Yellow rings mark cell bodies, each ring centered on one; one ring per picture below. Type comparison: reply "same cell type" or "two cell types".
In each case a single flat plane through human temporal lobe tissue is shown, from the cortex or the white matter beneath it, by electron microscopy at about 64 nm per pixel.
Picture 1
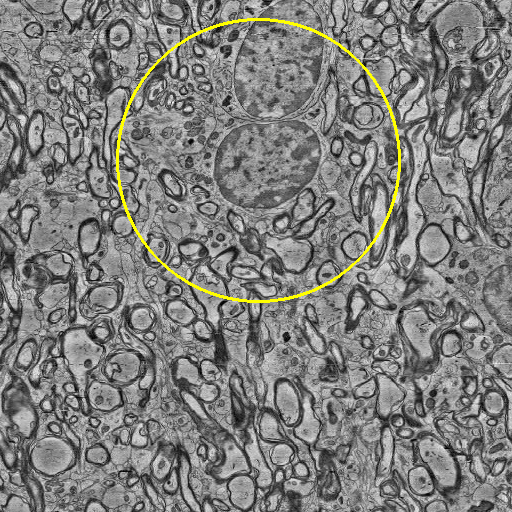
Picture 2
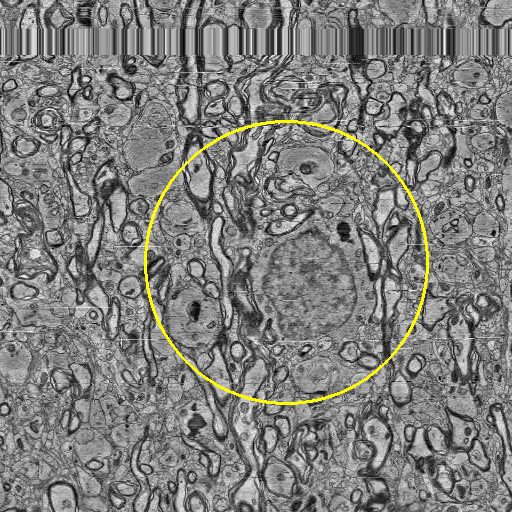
two cell types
